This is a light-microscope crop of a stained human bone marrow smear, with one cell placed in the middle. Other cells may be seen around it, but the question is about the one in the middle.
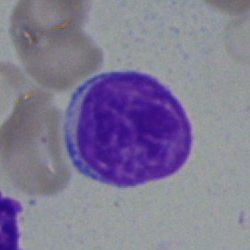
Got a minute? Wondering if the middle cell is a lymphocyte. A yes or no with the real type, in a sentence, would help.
Yes, the cell here in the middle is a lymphocyte.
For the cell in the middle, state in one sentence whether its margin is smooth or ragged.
No surface projections are present; the cell outline is smooth.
